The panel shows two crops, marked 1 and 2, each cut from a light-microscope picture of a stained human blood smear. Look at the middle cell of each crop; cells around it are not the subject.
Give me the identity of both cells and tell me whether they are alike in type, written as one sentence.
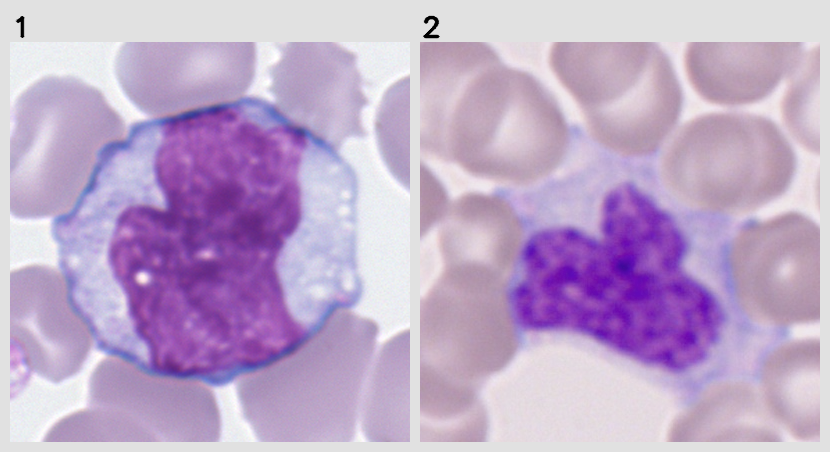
Yes, as an answer for this item, both crops show monocytes.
